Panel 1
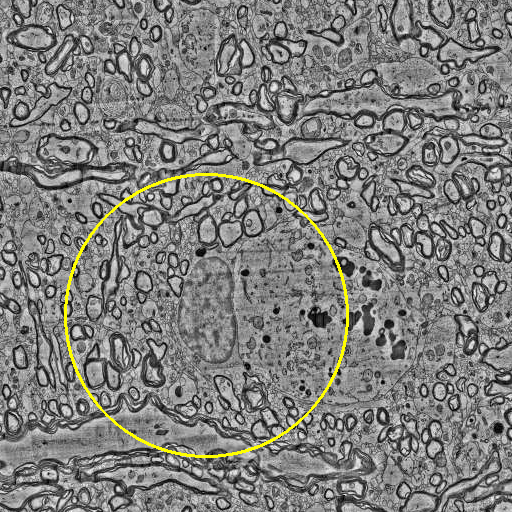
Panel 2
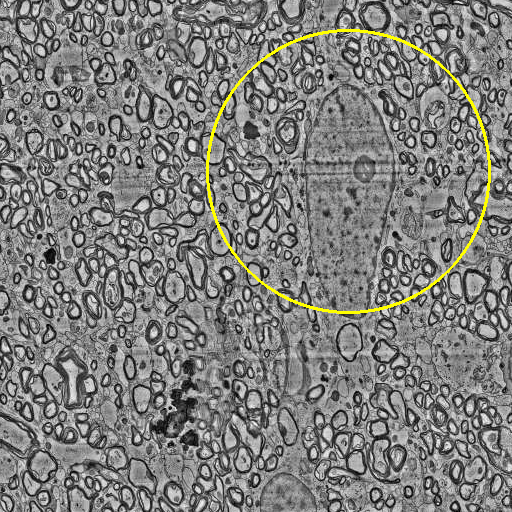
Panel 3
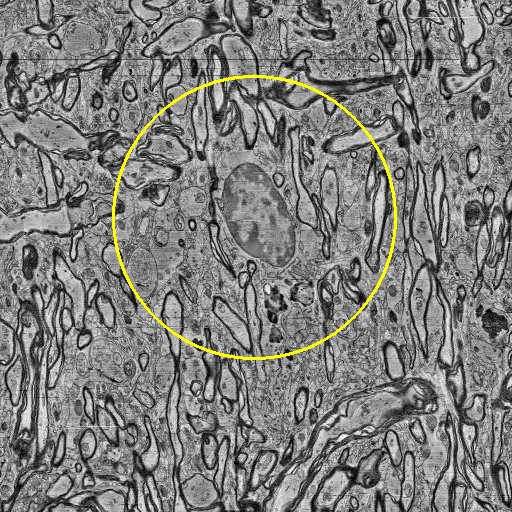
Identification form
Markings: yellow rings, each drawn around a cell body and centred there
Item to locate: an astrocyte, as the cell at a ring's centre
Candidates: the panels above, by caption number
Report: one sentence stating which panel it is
It is Panel 2.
